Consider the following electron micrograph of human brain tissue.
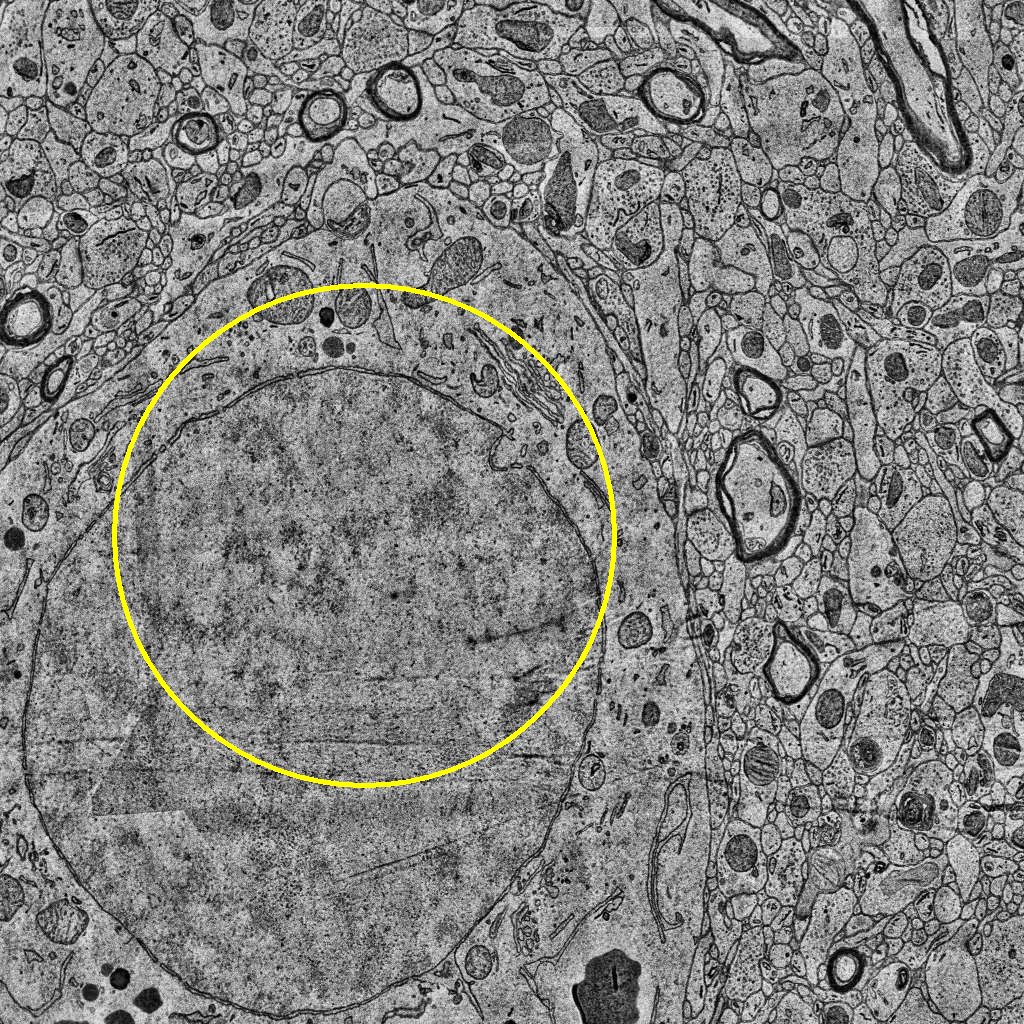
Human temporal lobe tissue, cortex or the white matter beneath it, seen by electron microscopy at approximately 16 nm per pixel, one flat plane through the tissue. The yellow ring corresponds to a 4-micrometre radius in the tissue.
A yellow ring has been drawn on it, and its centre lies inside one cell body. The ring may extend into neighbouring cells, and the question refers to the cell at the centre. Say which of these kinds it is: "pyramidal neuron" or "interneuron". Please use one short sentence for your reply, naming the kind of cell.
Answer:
The centre of the ring falls on a pyramidal neuron.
